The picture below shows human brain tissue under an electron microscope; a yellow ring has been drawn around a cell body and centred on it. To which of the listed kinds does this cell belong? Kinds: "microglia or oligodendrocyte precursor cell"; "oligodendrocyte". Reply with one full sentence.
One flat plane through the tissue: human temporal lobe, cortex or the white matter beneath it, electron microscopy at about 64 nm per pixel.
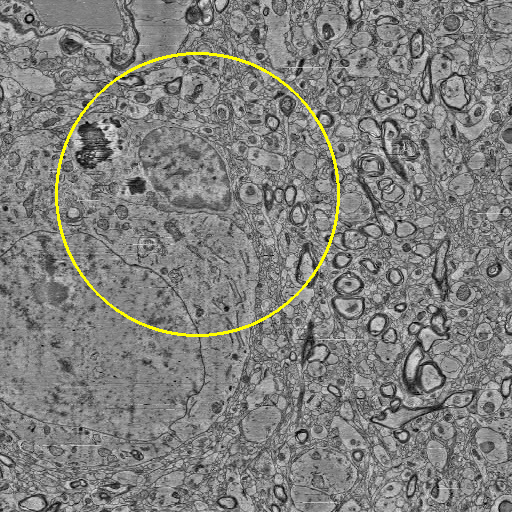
It is an oligodendrocyte that the yellow ring in the picture is centred on.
